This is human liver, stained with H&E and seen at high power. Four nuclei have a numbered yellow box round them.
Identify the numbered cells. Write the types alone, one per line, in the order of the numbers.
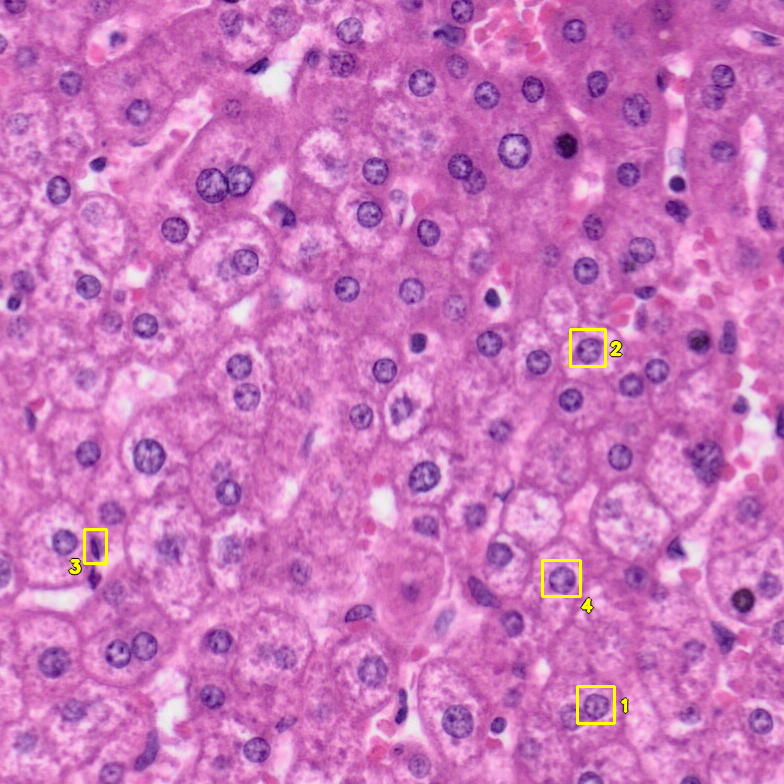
hepatocyte
hepatocyte
endothelial cell
hepatocyte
